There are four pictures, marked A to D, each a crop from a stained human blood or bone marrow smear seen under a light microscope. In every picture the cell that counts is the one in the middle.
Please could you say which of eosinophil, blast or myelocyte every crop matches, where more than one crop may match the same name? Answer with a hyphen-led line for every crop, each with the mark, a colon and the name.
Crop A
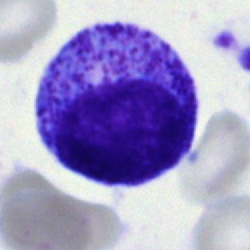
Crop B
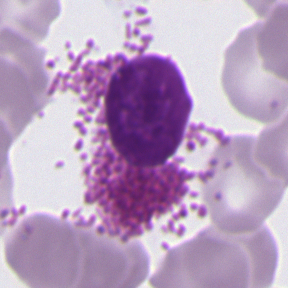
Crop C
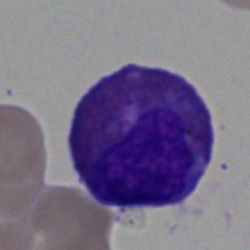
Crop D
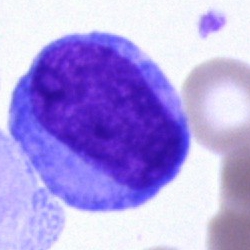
- A: myelocyte
- B: eosinophil
- C: eosinophil
- D: blast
